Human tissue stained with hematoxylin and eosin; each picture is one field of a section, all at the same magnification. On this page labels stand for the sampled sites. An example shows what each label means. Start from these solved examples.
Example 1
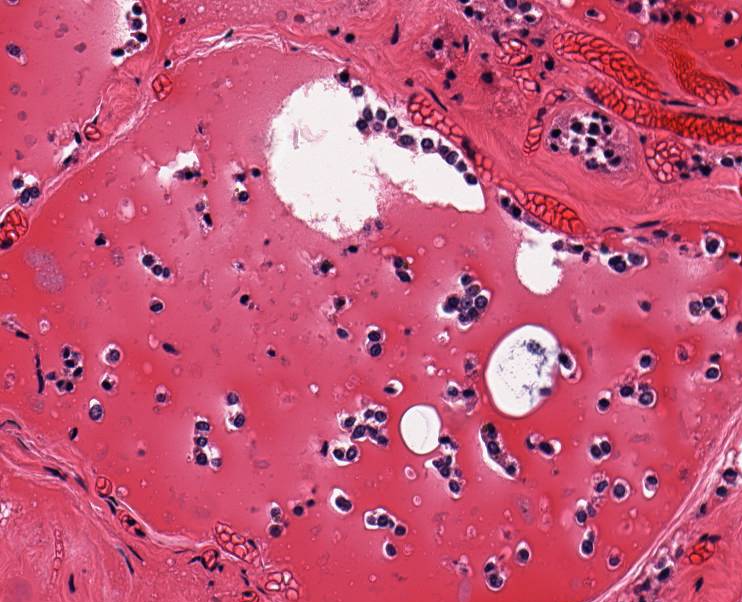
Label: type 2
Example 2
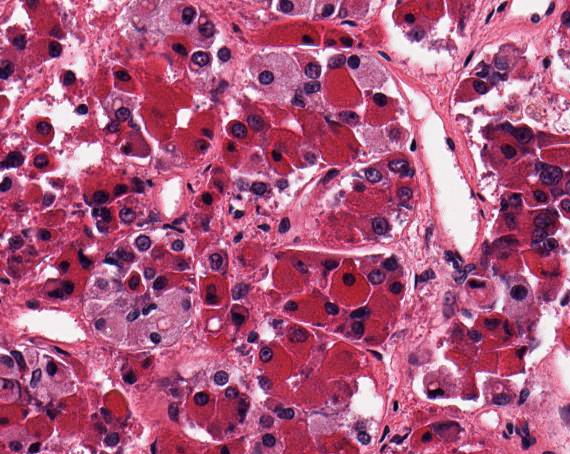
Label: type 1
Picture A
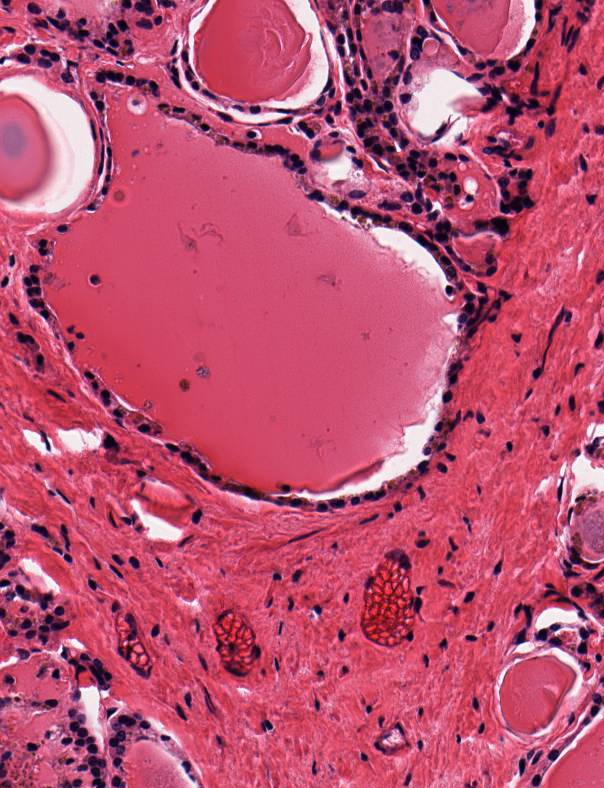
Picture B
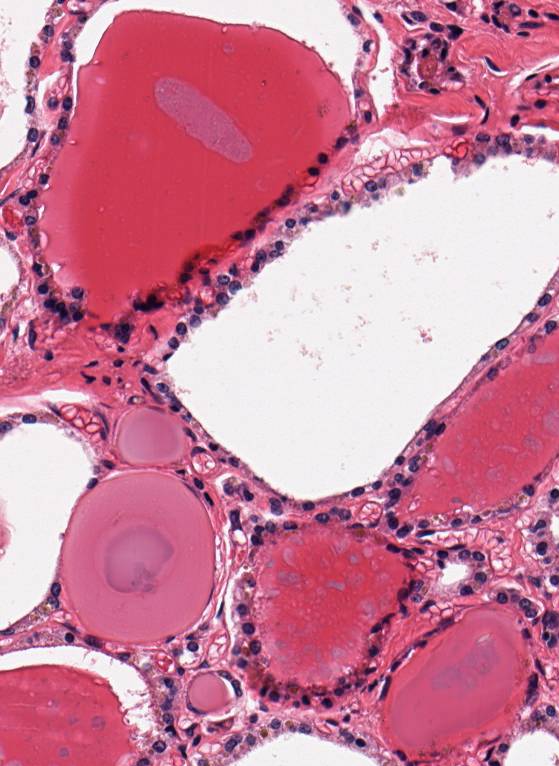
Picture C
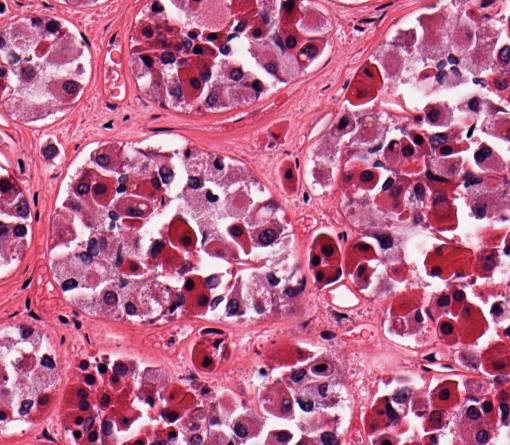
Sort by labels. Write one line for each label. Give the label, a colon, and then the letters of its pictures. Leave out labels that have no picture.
type 2: A, B
type 1: C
